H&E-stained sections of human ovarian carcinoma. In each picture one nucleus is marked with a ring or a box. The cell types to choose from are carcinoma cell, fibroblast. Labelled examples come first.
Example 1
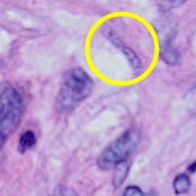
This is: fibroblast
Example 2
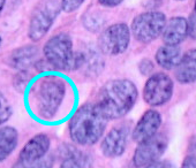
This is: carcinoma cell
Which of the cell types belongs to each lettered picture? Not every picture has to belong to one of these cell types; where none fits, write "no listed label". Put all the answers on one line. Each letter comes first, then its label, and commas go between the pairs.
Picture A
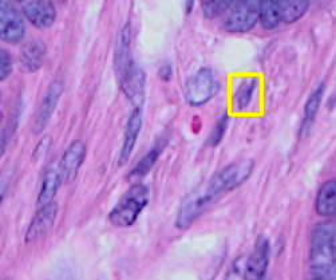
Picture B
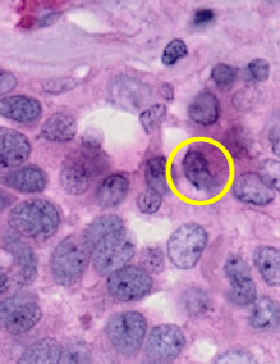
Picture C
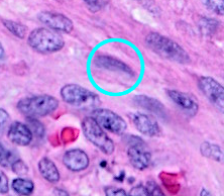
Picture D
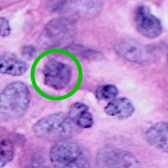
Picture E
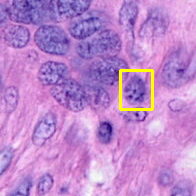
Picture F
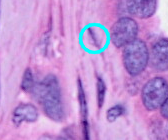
A fibroblast, B no listed label, C fibroblast, D no listed label, E no listed label, F fibroblast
